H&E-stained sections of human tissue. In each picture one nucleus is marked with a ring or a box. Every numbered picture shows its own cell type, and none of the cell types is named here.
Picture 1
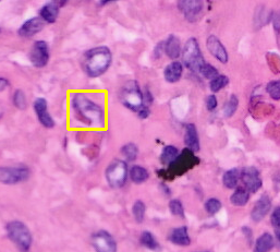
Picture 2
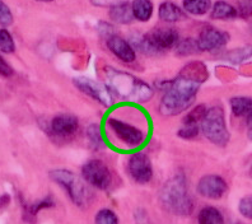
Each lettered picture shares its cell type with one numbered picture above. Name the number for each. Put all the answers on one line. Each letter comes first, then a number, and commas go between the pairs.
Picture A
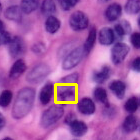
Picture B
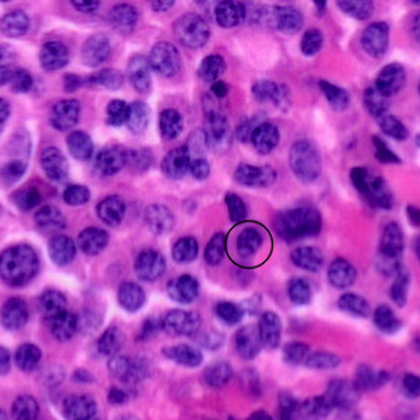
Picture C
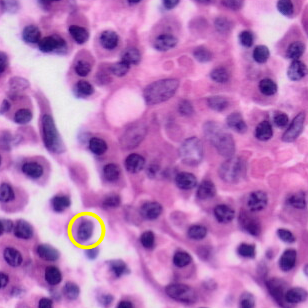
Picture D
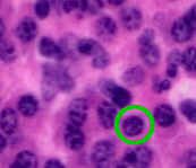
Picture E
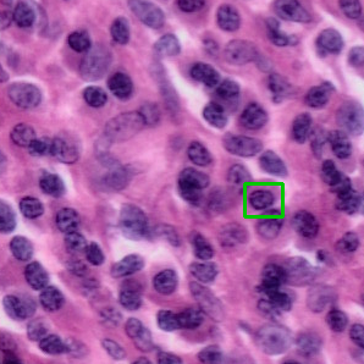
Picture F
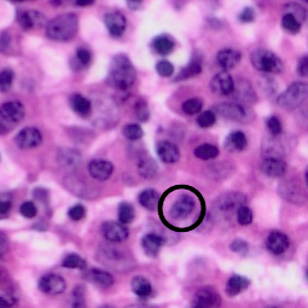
A 1, B 2, C 2, D 2, E 2, F 2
